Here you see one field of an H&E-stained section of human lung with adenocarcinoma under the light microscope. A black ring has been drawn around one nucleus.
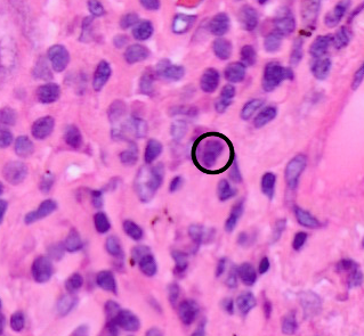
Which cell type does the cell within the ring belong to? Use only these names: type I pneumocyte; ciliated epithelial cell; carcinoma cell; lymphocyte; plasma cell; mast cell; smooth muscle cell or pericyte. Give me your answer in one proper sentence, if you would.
By cell type, the cell within the ring is a plasma cell.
